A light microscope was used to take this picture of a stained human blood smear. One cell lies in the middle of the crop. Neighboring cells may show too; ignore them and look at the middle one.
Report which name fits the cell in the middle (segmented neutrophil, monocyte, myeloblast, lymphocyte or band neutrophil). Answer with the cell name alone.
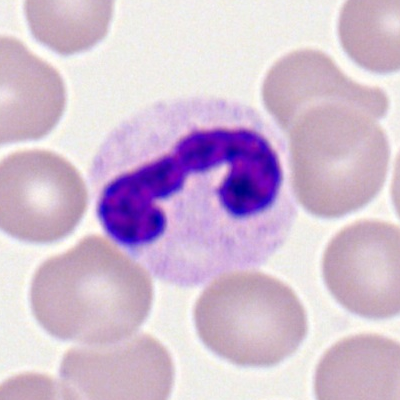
band neutrophil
